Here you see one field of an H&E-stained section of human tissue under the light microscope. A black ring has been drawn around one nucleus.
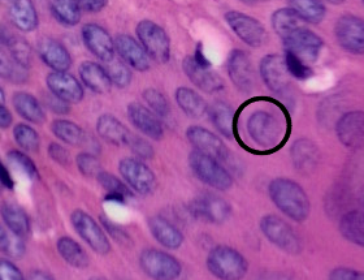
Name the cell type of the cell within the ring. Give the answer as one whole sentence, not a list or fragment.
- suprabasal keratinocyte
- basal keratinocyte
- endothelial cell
The identity of the cell within the ring is that of a suprabasal keratinocyte.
